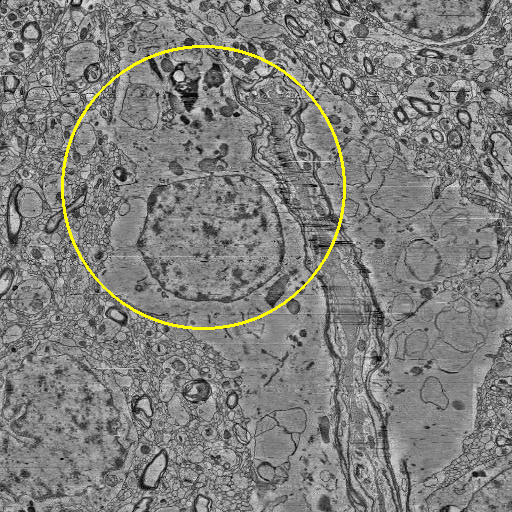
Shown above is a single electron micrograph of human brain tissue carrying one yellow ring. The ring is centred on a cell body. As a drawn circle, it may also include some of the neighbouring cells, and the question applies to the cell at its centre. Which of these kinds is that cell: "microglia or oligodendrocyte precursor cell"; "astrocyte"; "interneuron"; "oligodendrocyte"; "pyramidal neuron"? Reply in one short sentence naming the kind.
The cell marked by the ring is an astrocyte.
